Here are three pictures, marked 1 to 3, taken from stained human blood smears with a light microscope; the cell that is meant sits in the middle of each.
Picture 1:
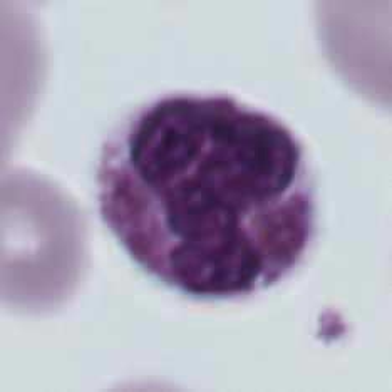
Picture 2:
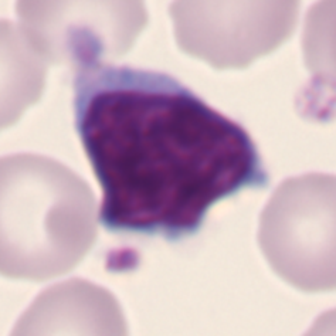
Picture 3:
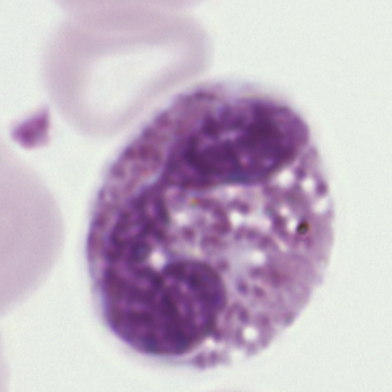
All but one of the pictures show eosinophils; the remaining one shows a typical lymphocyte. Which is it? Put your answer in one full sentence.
The picture with the typical lymphocyte is 2.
